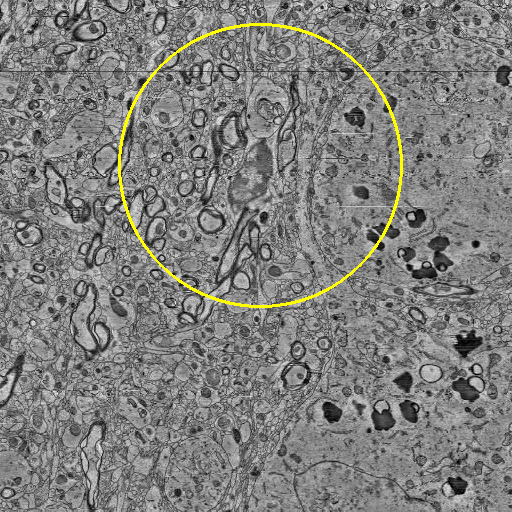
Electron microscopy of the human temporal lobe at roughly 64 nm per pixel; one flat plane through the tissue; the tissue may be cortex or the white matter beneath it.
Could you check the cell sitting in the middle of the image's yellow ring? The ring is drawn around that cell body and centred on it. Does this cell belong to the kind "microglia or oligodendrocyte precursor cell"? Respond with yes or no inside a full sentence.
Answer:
Yes, this cell in the middle of the yellow ring is one of that kind.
